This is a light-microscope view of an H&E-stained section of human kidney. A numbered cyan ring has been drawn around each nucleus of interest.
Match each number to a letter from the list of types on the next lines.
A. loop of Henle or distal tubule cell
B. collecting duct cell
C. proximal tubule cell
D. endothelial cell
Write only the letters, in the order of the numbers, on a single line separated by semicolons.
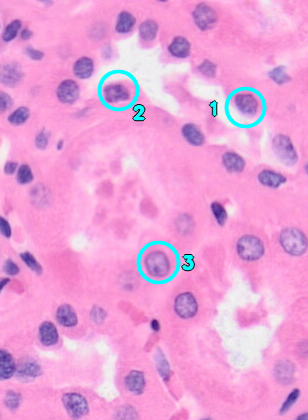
A; A; C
